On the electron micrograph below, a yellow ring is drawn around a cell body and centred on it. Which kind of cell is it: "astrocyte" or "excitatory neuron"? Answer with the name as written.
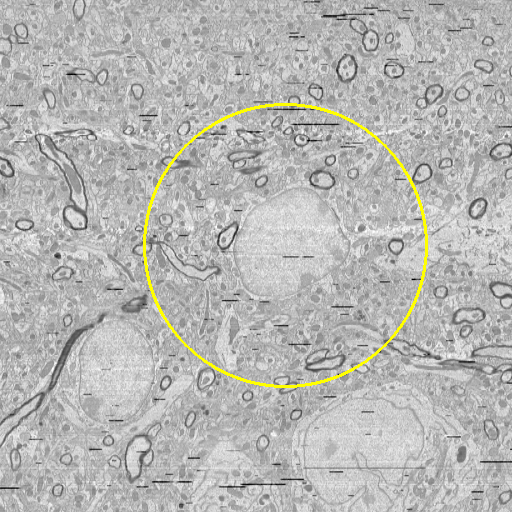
astrocyte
